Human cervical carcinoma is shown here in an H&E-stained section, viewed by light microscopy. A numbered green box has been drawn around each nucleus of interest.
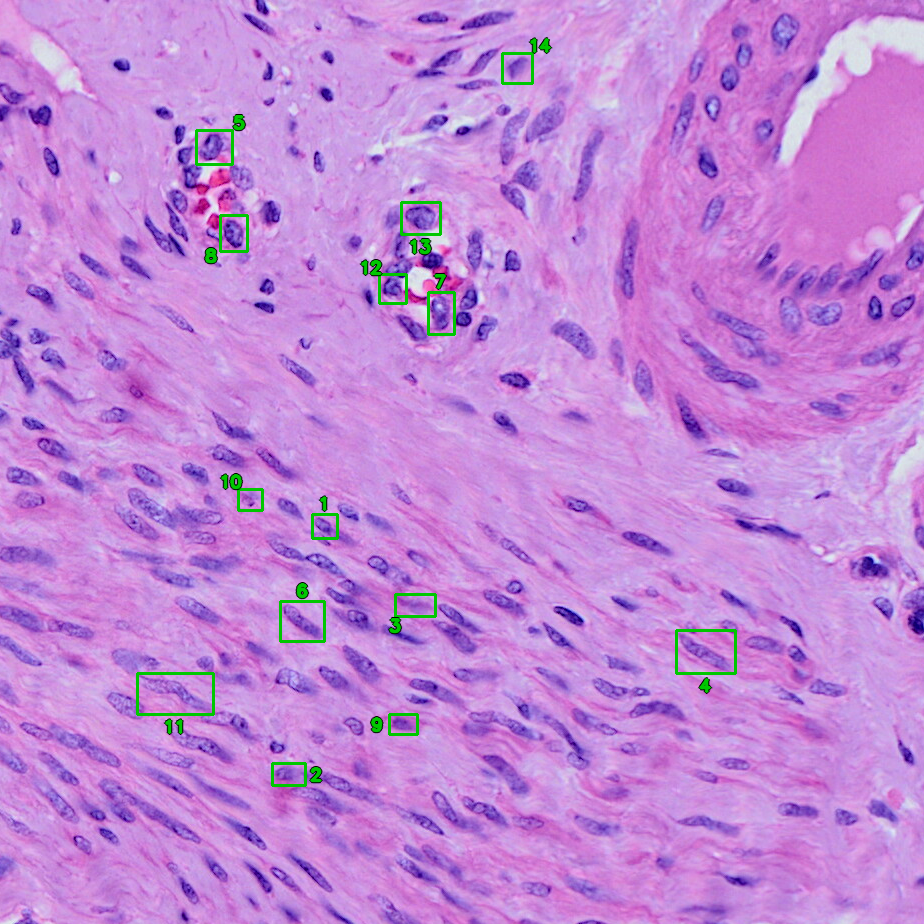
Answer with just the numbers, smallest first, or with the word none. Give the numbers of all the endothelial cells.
5, 7, 8, 12, 13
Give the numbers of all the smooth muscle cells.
1, 2, 3, 4, 6, 9, 10, 11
